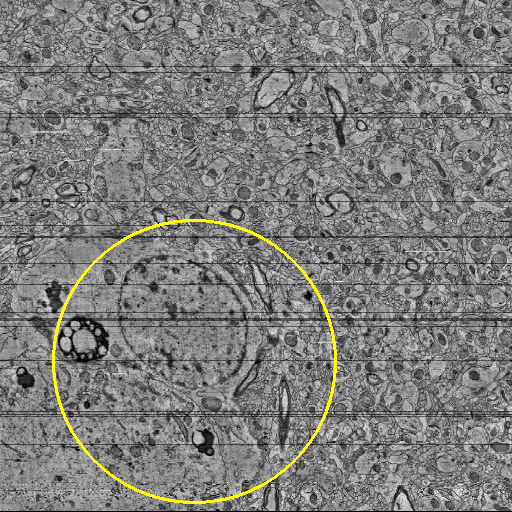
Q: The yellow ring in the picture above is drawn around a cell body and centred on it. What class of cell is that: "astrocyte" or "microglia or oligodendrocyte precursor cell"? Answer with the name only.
astrocyte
